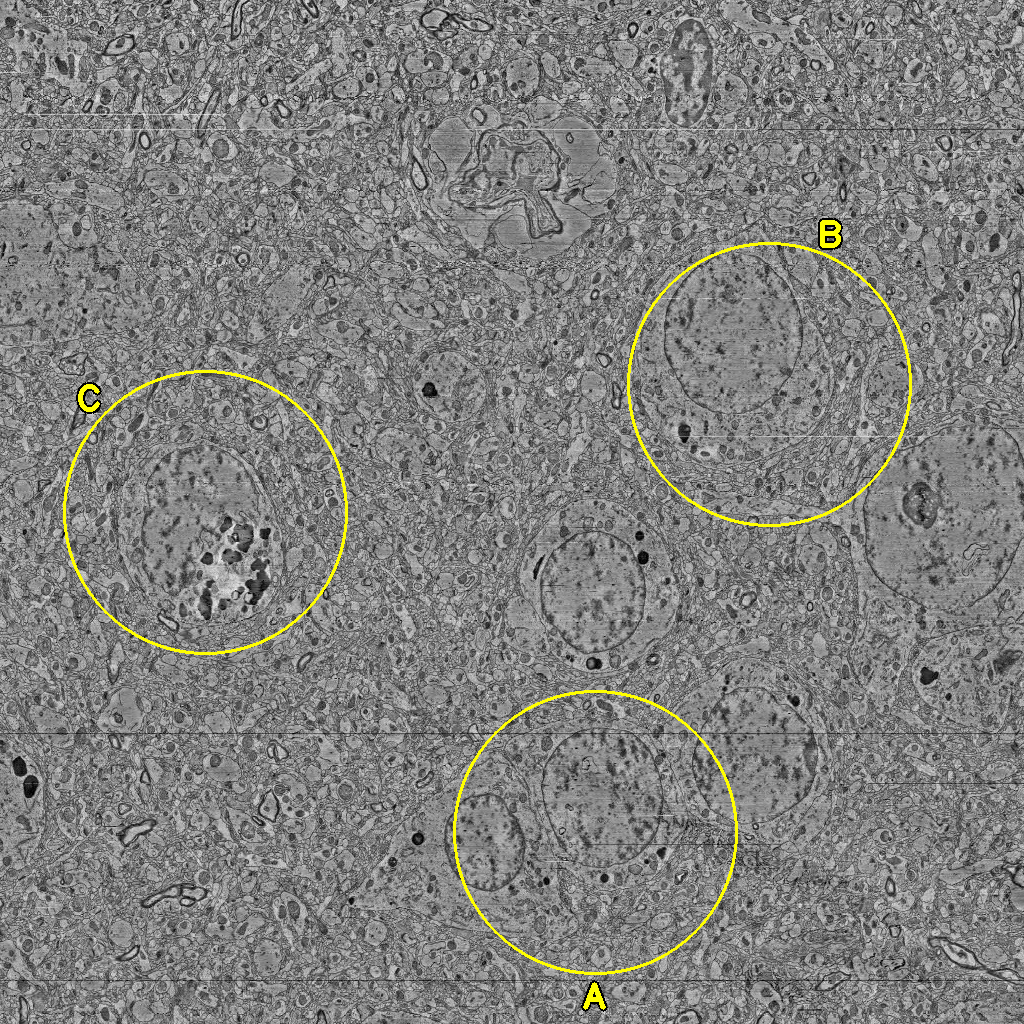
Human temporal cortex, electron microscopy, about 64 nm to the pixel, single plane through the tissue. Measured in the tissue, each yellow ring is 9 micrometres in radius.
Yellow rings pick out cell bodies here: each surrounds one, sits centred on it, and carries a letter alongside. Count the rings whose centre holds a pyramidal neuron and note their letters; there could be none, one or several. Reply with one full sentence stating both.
The rings bearing the letters A and B number two, and each of them is centred on a pyramidal neuron.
